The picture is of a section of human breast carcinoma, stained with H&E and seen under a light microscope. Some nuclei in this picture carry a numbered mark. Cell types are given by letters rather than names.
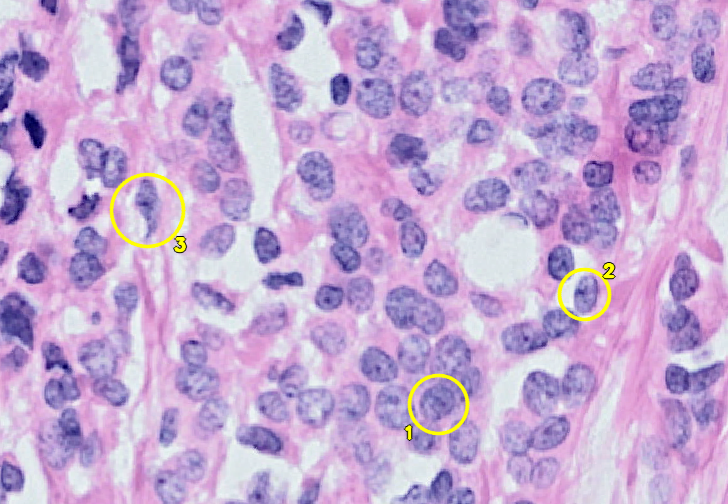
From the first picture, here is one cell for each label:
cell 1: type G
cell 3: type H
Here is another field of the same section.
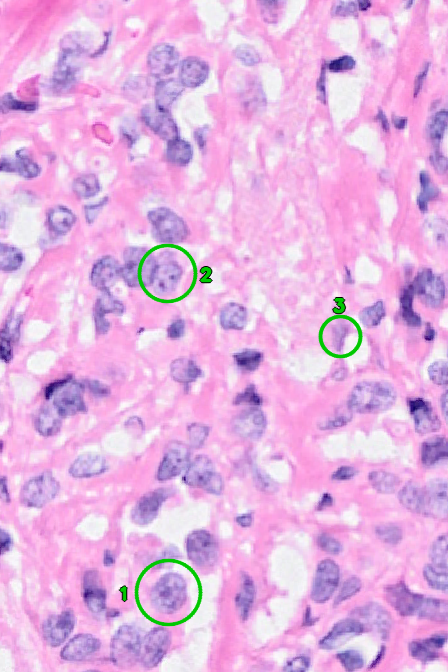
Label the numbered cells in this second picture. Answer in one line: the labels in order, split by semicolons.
type G; type G; type H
